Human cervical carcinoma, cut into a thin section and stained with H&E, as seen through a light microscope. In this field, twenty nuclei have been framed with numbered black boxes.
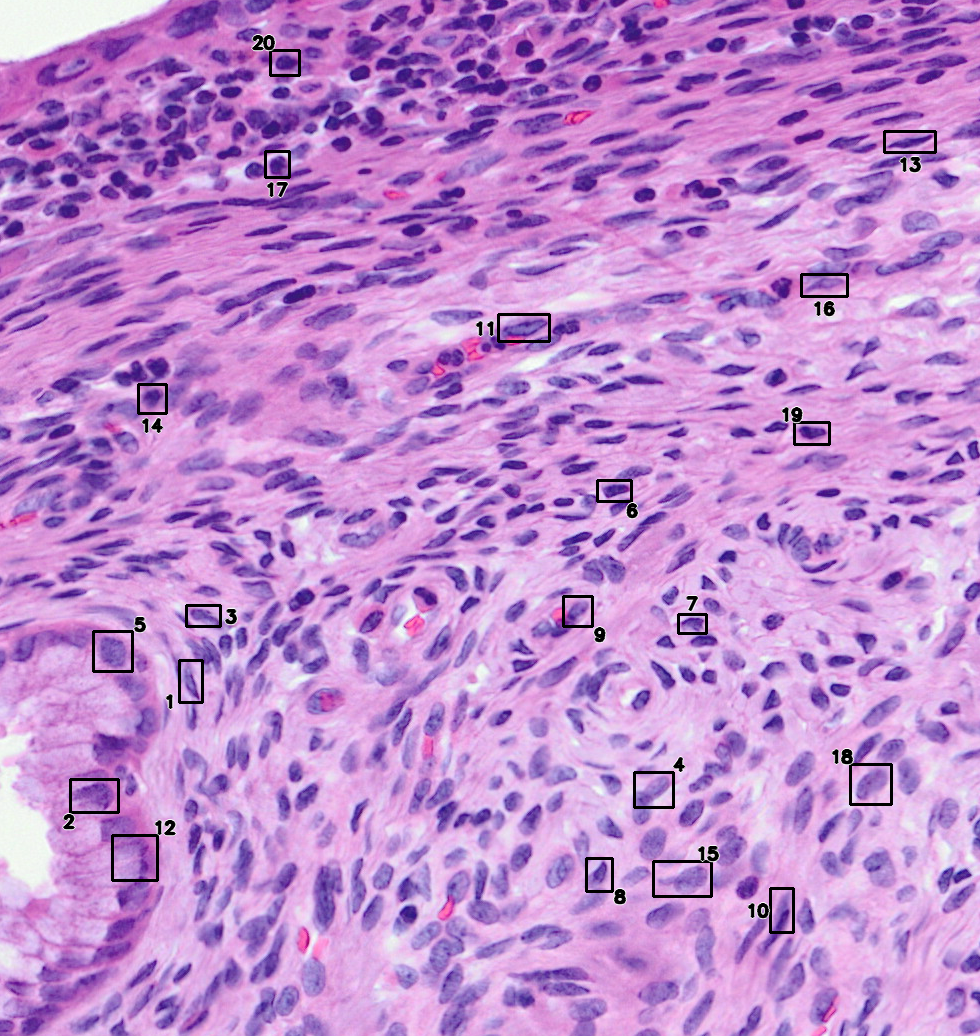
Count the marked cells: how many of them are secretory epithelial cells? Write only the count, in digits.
3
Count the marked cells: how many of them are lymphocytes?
4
